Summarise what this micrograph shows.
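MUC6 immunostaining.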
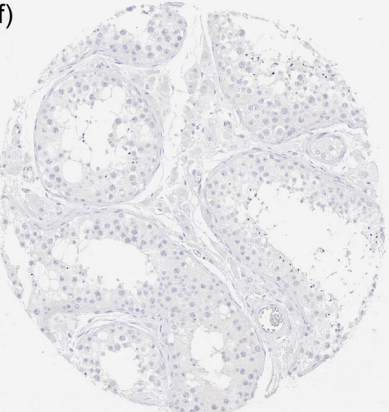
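Several round seminiferous tubules of testis fill the core, each lined by a thick stratified layer of germ cells with round blue nuclei, maturing toward a central lumen that holds pale vacuolated spaces. Thin walls of flattened cells surround each tubule, and loose interstitial tissue with small vessels lies between them. No brown chromogen is seen in any tubule or in the interstitium; all cells show only the blue counterstain and pale cytoplasm, so this tissue is entirely unstained.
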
